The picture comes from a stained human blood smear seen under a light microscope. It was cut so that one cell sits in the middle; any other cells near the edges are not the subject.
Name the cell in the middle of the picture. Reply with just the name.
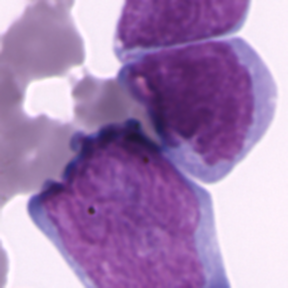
myeloblast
